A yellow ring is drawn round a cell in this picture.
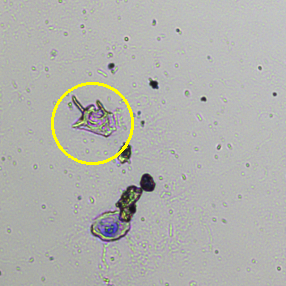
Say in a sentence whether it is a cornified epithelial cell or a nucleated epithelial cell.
The cell in the ring is a cornified epithelial cell.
